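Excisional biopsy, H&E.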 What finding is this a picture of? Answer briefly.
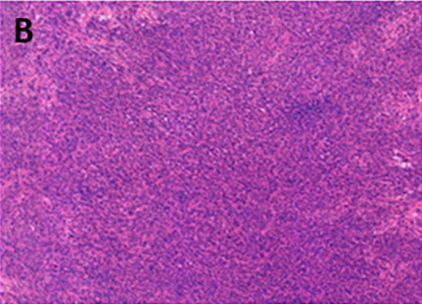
Diffuse architecture of the lymph node.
